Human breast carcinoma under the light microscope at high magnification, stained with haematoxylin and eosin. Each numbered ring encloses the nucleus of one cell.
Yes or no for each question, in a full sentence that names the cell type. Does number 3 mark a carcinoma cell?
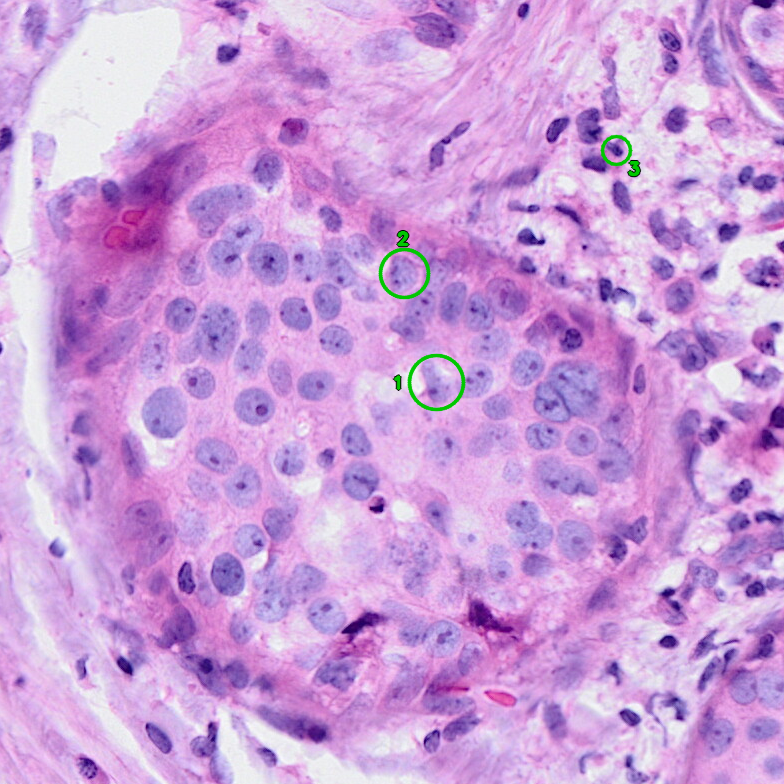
No, a carcinoma cell is not what cell 3 is; it is a lymphocyte.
